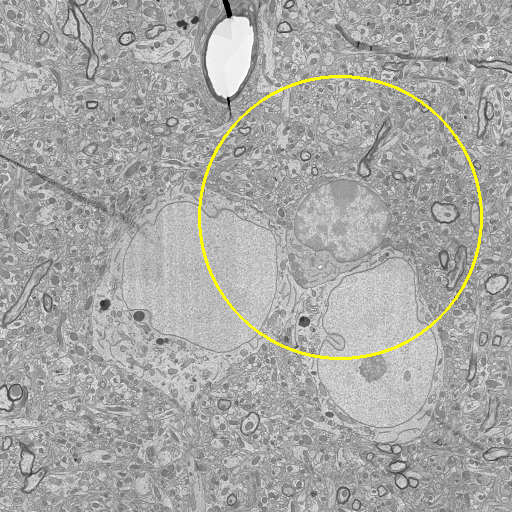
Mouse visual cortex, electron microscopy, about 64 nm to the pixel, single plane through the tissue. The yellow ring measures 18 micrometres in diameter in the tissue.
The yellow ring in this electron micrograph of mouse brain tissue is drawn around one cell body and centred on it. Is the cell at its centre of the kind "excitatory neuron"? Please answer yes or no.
no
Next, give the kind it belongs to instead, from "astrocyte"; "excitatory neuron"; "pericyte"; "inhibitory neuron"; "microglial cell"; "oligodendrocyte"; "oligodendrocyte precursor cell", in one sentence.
As it turns out, the cell at the ring centre is an oligodendrocyte.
